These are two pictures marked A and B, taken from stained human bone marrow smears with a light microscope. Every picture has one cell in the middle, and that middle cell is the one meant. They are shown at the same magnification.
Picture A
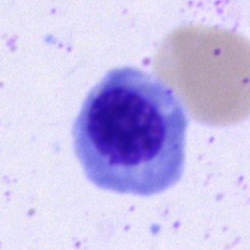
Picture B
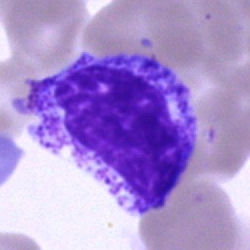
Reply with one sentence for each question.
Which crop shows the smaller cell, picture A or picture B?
Picture A holds the smaller cell, since the cell in picture B covers about 1.5 times as much area.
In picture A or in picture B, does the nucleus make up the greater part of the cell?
The nucleus fills more of the cell in picture B than in picture A.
